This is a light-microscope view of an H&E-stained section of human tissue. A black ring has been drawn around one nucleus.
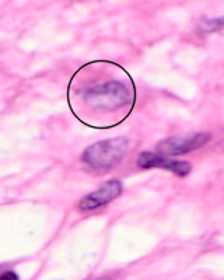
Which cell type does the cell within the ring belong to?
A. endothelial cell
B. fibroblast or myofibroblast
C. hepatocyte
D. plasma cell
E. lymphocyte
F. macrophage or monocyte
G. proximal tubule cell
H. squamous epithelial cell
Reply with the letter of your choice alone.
B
